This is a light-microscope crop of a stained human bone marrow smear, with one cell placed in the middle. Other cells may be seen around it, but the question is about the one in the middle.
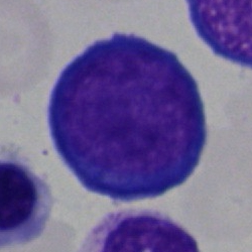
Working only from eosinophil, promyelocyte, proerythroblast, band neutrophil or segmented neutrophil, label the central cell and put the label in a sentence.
The crop centres on a single cell, and that cell is a proerythroblast.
